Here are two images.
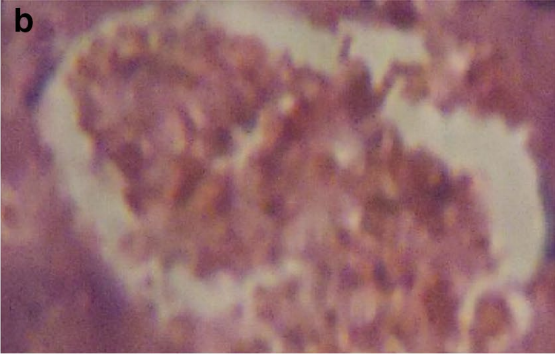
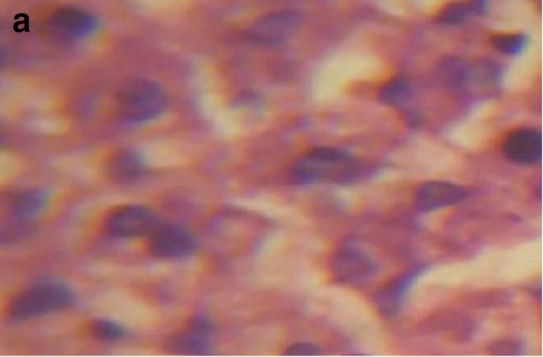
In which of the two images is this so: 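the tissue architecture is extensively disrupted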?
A: The first image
